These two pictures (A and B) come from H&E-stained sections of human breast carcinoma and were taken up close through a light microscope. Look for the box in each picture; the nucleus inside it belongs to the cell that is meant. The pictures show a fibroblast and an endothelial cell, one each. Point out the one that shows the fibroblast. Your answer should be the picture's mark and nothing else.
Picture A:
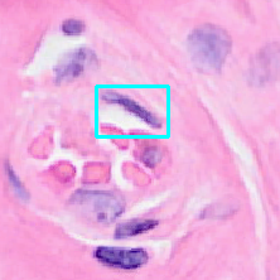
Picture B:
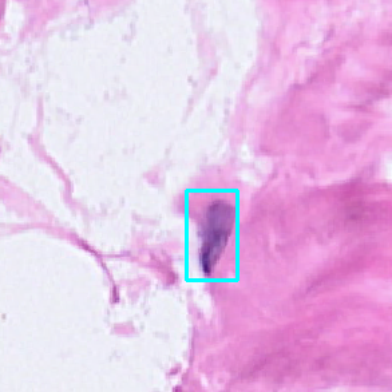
B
